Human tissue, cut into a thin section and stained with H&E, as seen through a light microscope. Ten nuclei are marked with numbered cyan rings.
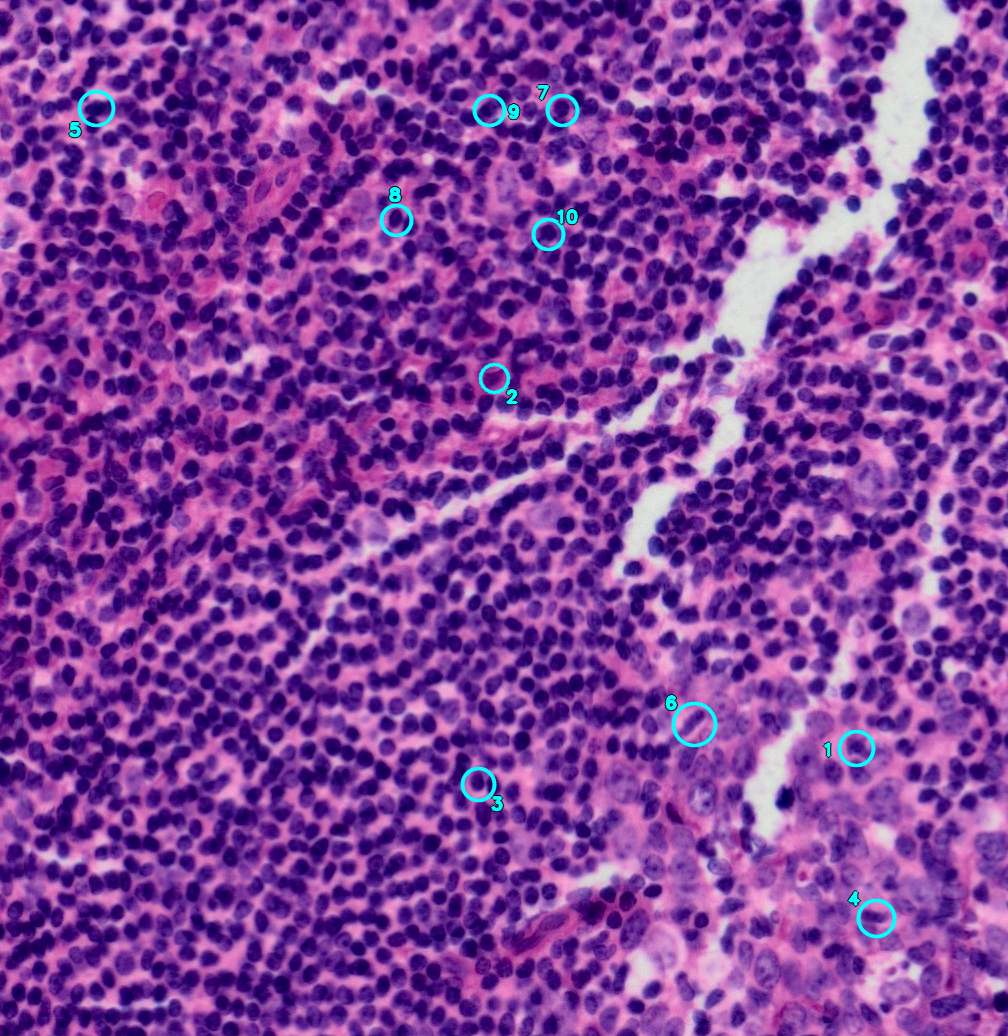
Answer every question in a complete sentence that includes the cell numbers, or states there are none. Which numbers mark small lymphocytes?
Cells 3, 5, 7, 8, 9 and 10 are recognised here as small lymphocytes.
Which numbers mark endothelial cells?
The cell marked by number 2 is an endothelial cell; the other marked cells are not.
